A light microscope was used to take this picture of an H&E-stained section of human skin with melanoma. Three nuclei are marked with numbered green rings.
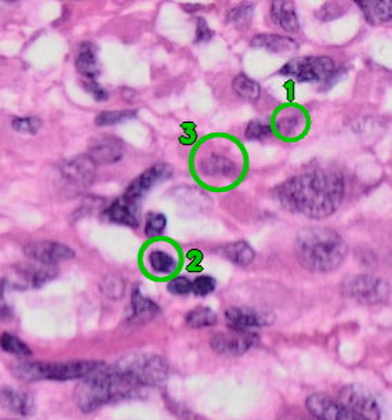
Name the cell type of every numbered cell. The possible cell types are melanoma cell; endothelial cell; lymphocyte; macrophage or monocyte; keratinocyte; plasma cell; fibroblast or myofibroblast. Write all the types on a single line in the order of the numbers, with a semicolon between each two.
melanoma cell; lymphocyte; melanoma cell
